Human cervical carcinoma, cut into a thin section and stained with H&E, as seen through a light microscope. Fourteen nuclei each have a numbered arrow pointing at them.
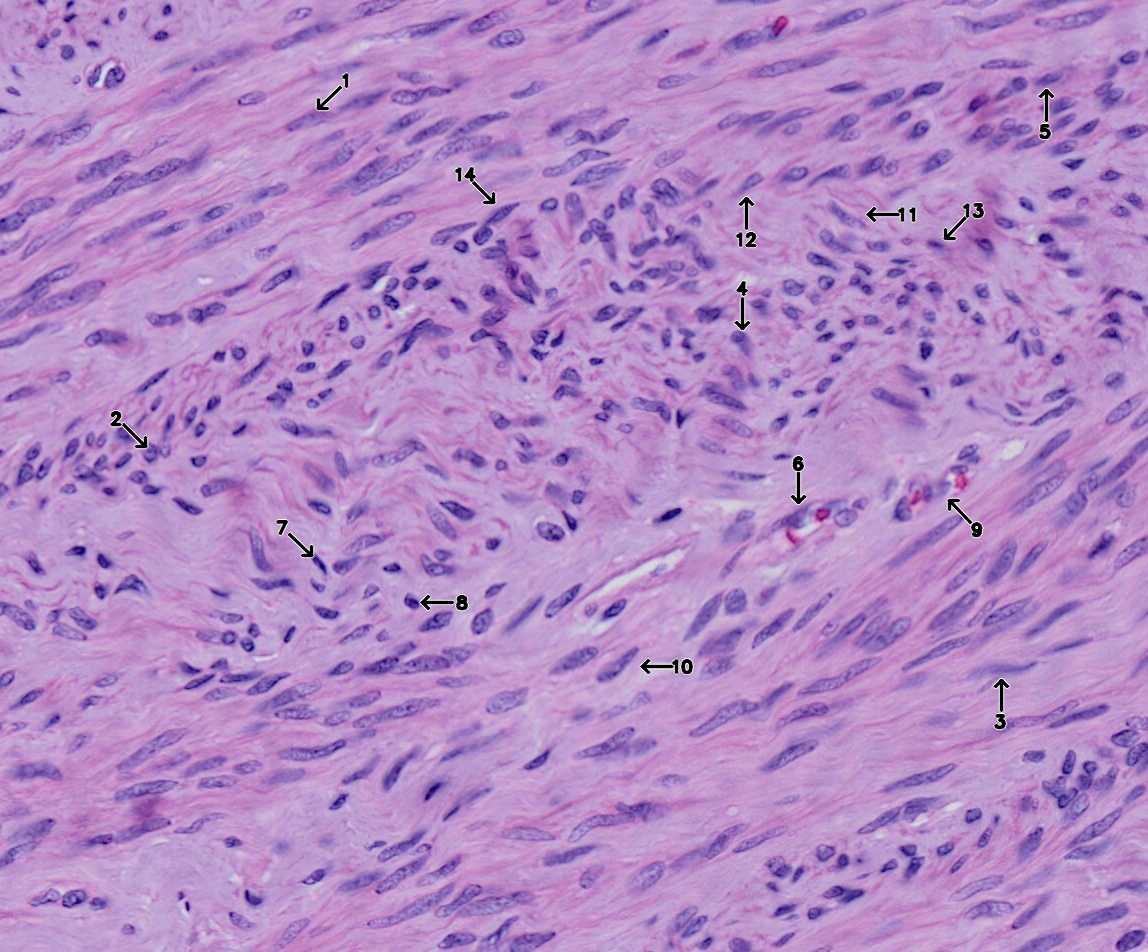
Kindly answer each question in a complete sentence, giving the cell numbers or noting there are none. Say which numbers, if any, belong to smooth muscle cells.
The cells identified by the numbers 1, 2, 4, 5, 11, 12 and 13 are smooth muscle cells.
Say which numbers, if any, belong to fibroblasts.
The numbers 3, 7, 8, 10 and 14 refer to cells that are fibroblasts.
